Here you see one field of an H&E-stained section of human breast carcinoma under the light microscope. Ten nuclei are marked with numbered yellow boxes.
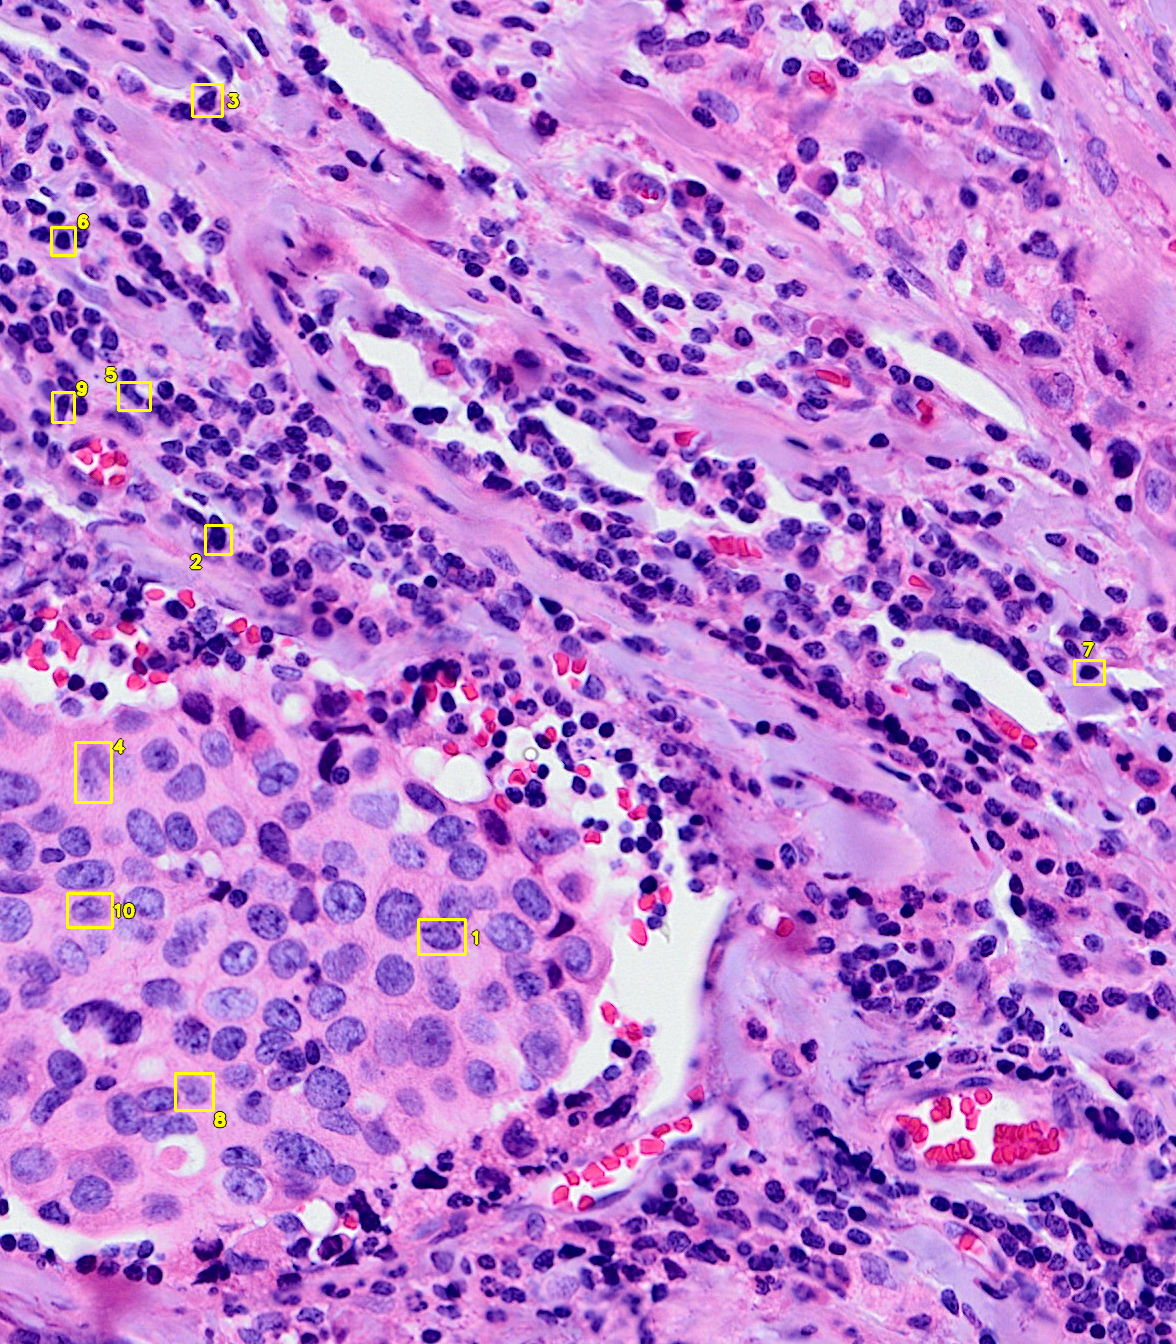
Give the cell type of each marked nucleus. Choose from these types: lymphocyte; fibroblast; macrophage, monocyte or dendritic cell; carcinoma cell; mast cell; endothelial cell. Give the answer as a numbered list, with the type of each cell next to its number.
1. carcinoma cell
2. lymphocyte
3. lymphocyte
4. carcinoma cell
5. lymphocyte
6. lymphocyte
7. lymphocyte
8. carcinoma cell
9. lymphocyte
10. carcinoma cell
